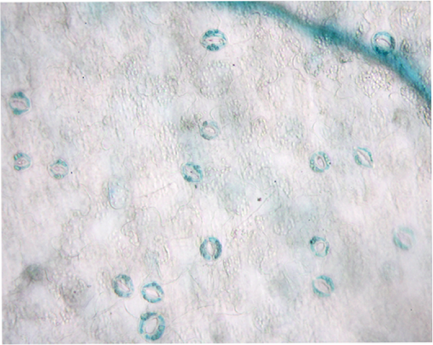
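Every pair of guard cells appears as a small oval ring, the two bean-shaped cells enclosing a narrow central pore. The blue stain is concentrated in these guard cell pairs, so they stand out as blue rings against a pale background. The epidermal cells lying between the stomata are faint and largely unstained, with only their outlines dimly visible. The stomata are scattered singly over the surface rather than clustered, and a blue-stained strand runs across the upper right corner.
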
